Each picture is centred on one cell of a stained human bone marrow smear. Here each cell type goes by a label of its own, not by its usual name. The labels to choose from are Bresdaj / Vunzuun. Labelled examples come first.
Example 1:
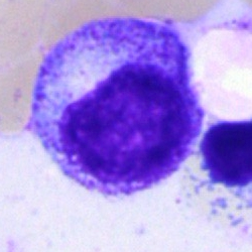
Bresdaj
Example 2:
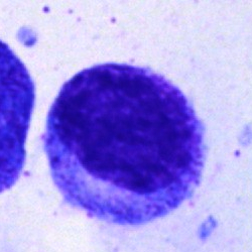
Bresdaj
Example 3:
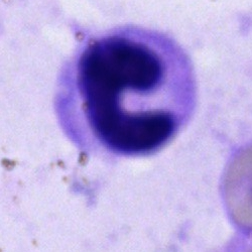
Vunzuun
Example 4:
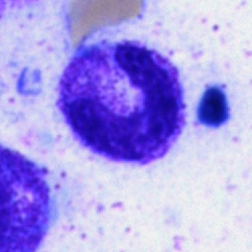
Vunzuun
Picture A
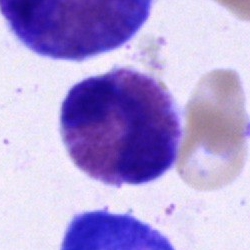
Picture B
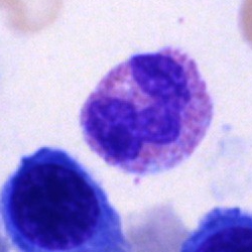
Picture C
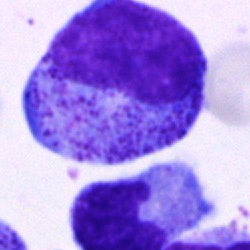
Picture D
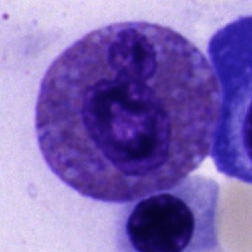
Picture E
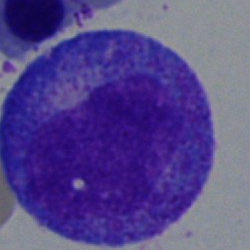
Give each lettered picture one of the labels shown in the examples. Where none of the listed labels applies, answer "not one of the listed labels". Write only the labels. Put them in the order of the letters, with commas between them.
not one of the listed labels, not one of the listed labels, Bresdaj, not one of the listed labels, Bresdaj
